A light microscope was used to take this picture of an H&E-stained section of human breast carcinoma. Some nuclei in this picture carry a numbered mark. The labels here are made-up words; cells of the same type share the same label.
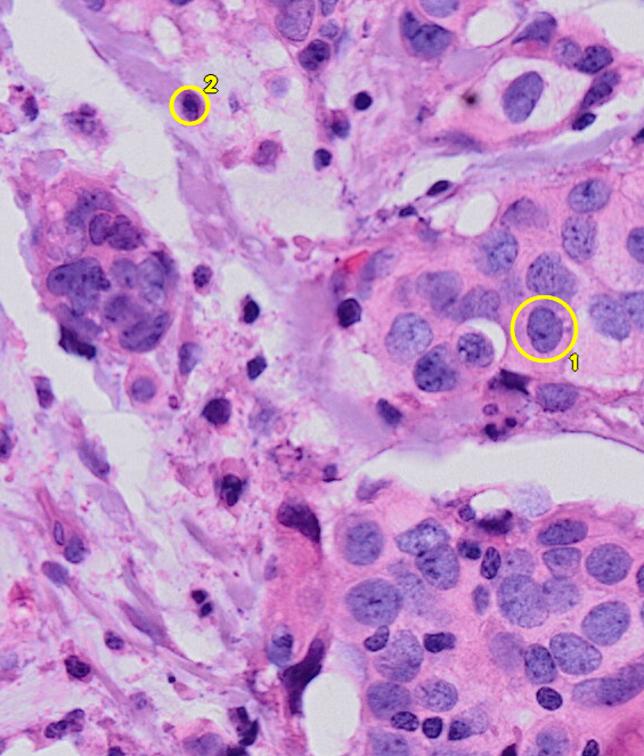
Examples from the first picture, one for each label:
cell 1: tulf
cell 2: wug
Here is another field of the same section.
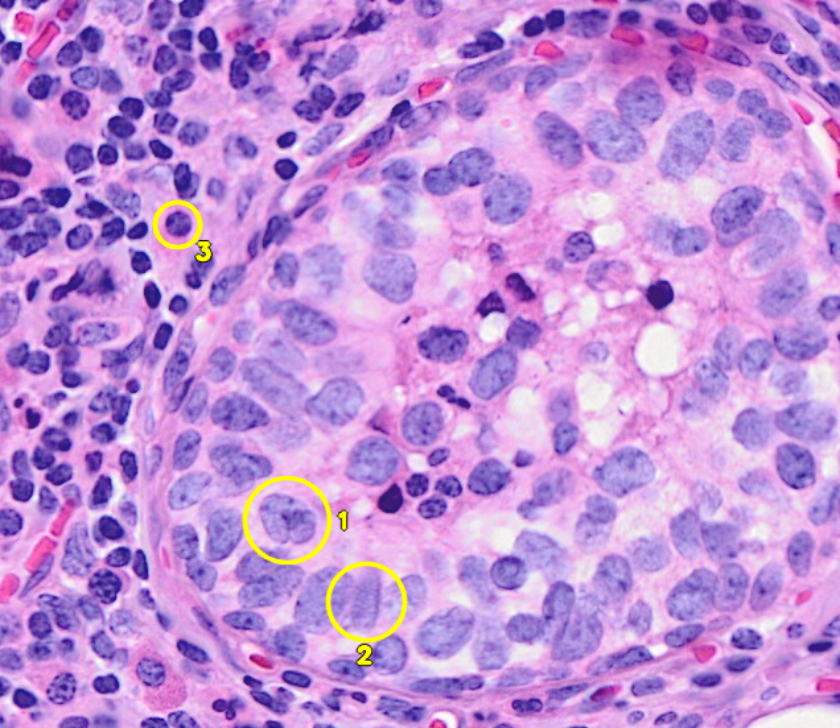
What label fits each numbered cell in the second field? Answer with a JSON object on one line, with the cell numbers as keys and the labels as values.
{"1": "tulf", "2": "tulf", "3": "wug"}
